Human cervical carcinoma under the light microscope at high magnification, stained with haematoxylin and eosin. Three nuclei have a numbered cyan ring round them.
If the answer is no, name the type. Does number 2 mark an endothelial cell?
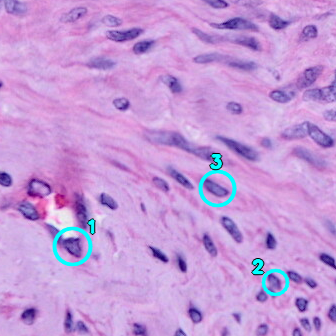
No, it is a smooth muscle cell.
